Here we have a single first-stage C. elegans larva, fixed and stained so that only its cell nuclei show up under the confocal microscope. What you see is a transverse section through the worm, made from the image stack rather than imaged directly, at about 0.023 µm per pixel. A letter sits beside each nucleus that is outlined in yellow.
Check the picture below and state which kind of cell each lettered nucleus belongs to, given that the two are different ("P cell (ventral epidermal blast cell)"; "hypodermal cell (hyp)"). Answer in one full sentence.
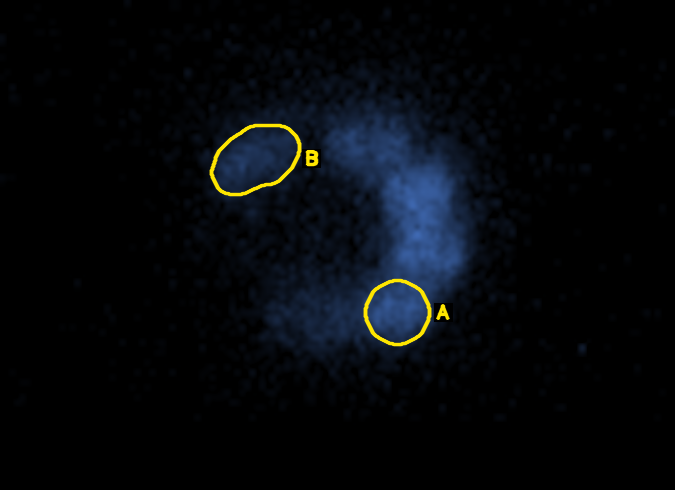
A belongs to a P cell (ventral epidermal blast cell) and B to a hypodermal cell (hyp).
